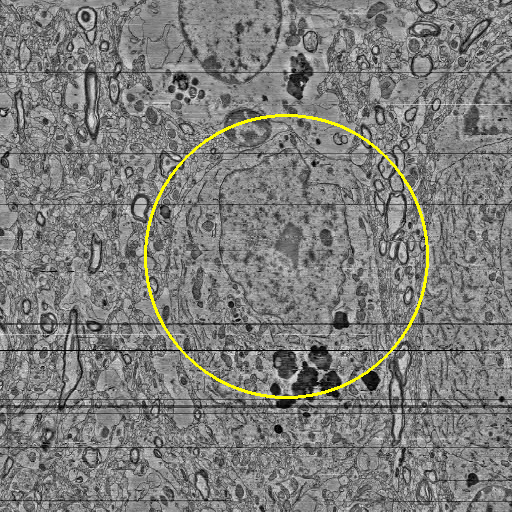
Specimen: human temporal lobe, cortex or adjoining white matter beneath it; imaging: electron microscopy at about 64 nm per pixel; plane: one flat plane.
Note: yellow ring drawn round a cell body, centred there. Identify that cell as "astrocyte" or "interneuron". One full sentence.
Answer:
The cell in the middle of the ring is an interneuron.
